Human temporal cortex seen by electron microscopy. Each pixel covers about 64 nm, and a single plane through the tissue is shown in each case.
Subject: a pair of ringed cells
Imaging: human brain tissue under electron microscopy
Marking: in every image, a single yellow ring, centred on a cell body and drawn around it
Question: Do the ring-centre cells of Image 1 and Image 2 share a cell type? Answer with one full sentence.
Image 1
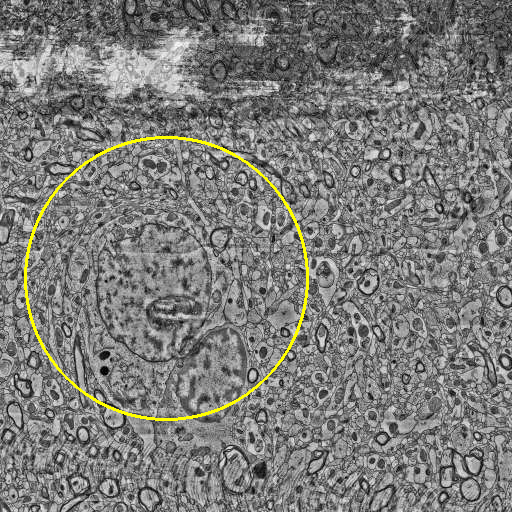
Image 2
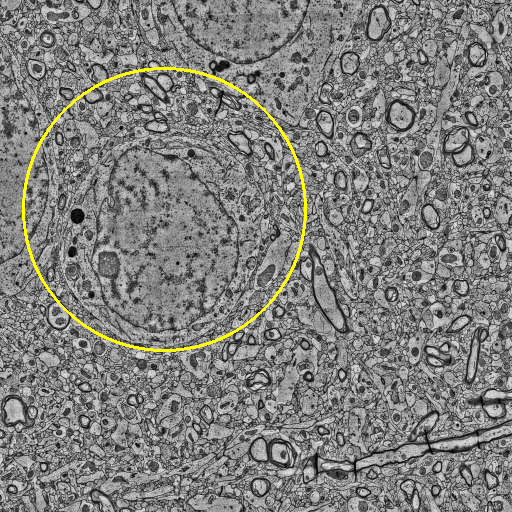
Yes, at each ring's centre in the images sits a cell of one common type.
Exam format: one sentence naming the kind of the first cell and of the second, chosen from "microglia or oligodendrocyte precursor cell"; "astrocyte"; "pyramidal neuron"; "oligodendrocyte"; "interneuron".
Each of the two rings is centred on a pyramidal neuron.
